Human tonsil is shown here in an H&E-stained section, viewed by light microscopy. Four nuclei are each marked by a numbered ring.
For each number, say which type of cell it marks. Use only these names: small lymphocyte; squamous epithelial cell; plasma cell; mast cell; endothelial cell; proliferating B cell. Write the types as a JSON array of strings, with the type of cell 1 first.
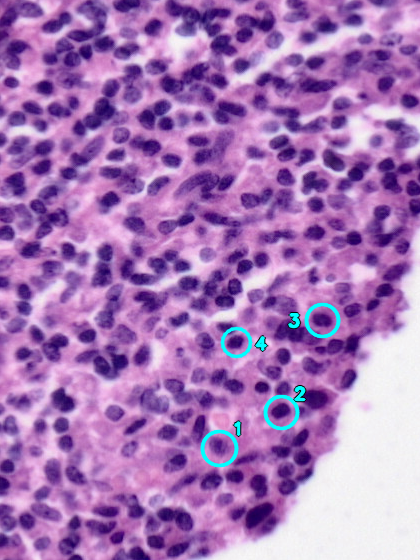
["endothelial cell", "plasma cell", "plasma cell", "plasma cell"]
